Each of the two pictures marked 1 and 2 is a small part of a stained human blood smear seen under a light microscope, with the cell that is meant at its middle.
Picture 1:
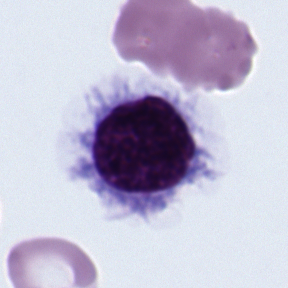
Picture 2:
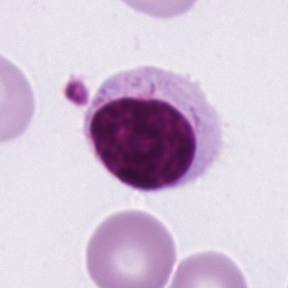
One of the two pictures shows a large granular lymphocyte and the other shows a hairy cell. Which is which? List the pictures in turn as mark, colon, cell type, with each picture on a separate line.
1: hairy cell
2: large granular lymphocyte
